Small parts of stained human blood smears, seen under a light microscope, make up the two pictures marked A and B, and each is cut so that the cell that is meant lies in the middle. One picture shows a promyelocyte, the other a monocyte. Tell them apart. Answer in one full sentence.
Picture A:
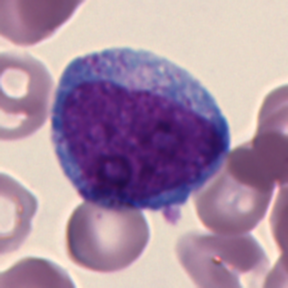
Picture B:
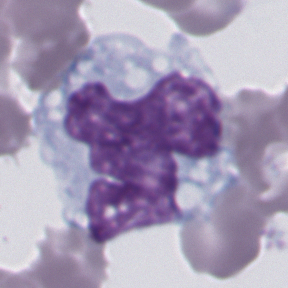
In picture A the cell is a promyelocyte; in picture B, a monocyte.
